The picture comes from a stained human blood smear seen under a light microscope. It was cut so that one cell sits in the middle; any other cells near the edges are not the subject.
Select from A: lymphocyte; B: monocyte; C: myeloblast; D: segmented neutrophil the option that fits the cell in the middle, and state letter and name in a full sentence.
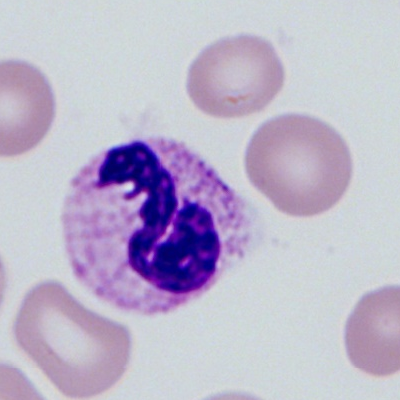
Since the cell in the middle is a segmented neutrophil, option D is correct.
